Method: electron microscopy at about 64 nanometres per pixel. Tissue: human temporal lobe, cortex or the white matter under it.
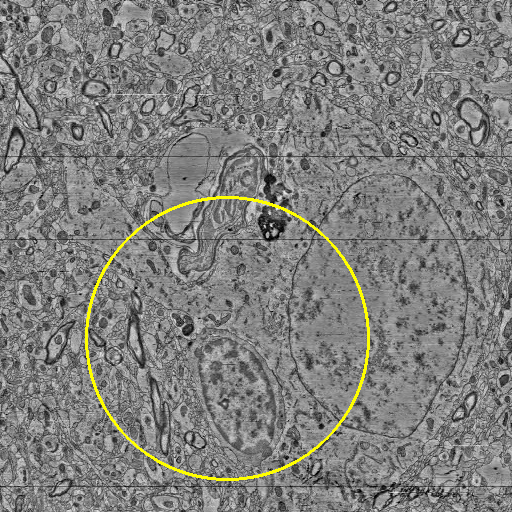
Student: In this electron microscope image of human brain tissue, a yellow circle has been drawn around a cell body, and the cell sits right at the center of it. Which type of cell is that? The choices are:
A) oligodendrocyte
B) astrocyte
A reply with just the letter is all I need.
A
